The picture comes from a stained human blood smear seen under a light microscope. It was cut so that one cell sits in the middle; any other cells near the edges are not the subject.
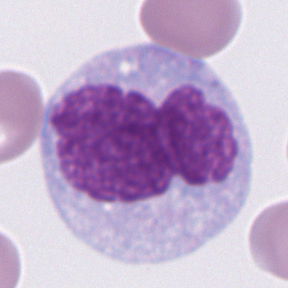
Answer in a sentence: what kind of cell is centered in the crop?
Of the cells in this crop, the central one is a monocyte.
